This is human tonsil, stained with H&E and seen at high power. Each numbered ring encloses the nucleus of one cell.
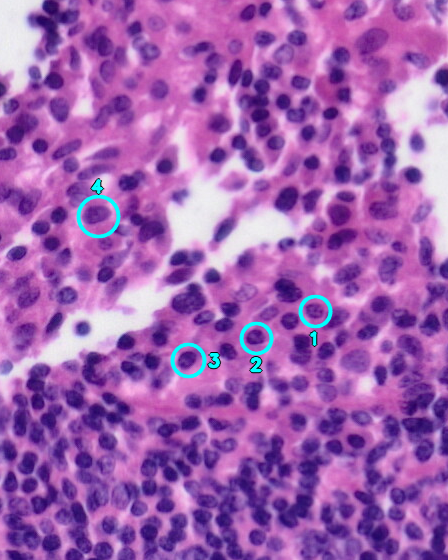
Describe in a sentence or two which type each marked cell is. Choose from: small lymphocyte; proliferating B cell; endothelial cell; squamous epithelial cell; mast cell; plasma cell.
Cells 1, 2 and 3 are plasma cells. Cell 4 is a squamous epithelial cell.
